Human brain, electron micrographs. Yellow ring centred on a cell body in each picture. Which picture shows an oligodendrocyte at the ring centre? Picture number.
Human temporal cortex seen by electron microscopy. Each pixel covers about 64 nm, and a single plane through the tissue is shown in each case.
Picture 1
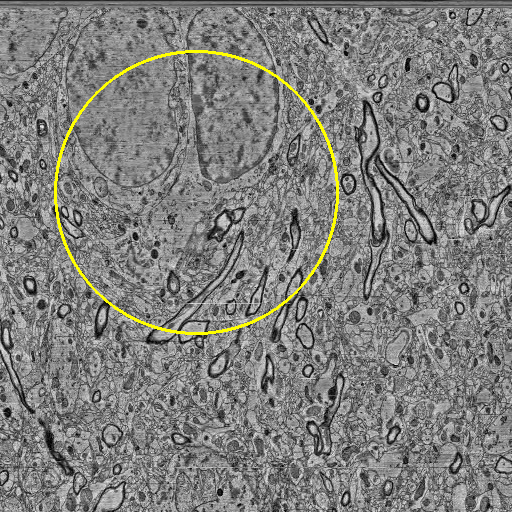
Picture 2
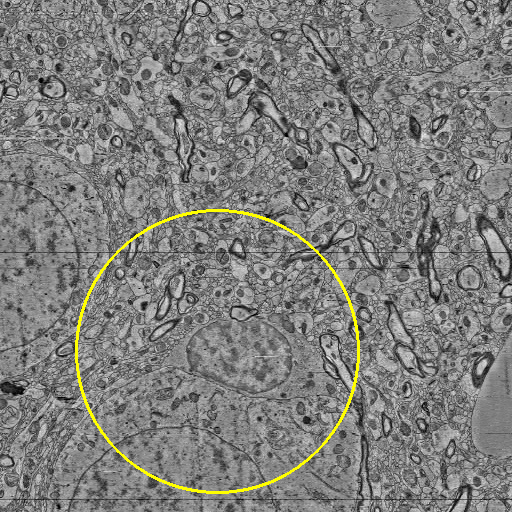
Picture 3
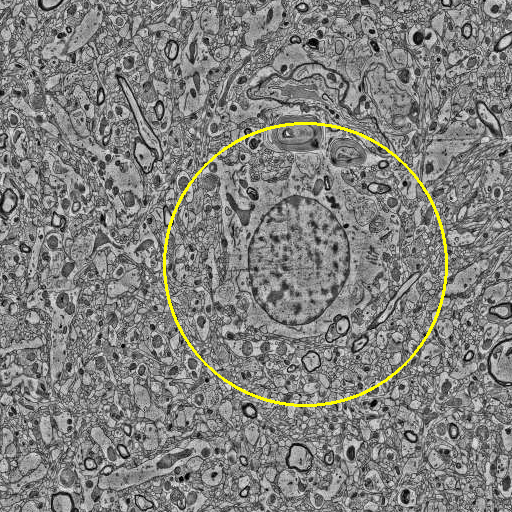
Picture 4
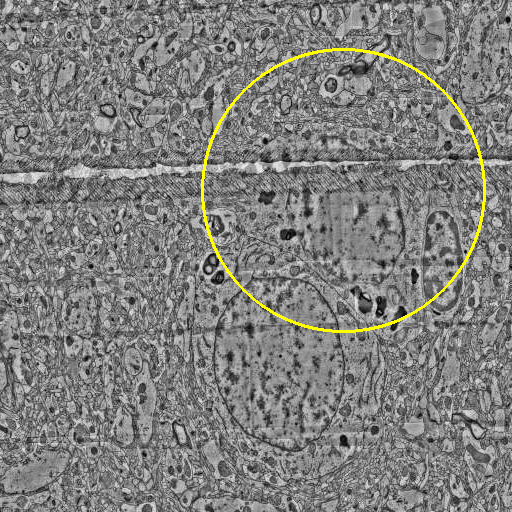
2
